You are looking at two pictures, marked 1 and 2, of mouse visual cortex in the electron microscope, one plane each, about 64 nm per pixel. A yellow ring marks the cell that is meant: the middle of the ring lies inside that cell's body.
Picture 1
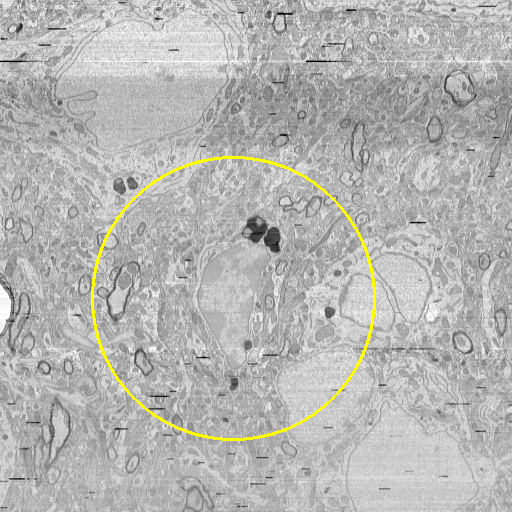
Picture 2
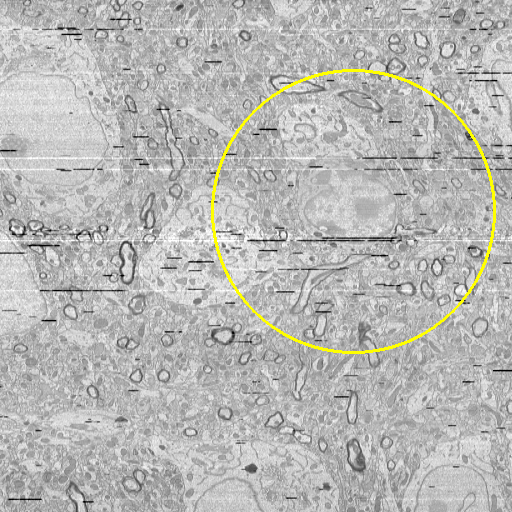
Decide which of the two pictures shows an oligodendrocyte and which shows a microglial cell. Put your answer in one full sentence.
In picture 1 the cell is a microglial cell; in picture 2, an oligodendrocyte.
